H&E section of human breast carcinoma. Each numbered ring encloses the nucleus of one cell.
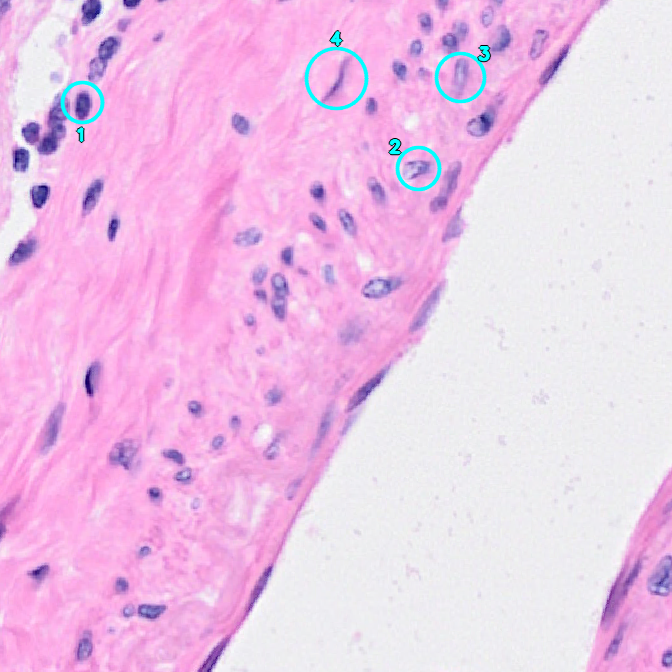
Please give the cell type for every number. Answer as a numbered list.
1. lymphocyte
2. endothelial cell
3. endothelial cell
4. fibroblast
